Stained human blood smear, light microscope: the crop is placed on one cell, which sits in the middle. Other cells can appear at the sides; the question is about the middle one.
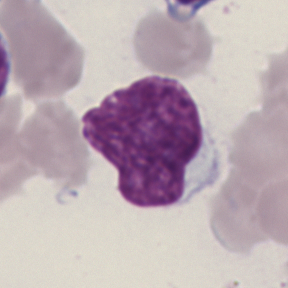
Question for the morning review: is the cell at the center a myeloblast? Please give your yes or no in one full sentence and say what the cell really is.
Yes, the cell in the center of the field is a myeloblast.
